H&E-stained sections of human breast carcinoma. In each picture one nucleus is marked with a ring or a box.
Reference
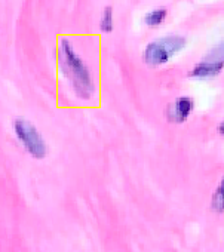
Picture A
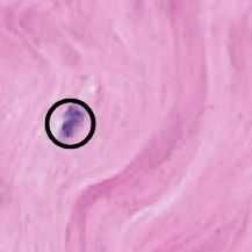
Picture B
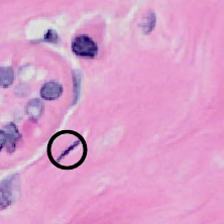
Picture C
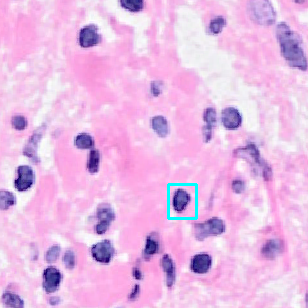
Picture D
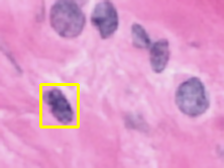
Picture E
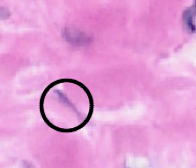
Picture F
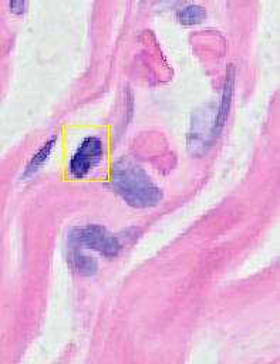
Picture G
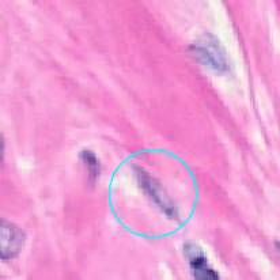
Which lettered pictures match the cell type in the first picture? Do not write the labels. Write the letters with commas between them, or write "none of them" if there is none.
A, B, E, G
